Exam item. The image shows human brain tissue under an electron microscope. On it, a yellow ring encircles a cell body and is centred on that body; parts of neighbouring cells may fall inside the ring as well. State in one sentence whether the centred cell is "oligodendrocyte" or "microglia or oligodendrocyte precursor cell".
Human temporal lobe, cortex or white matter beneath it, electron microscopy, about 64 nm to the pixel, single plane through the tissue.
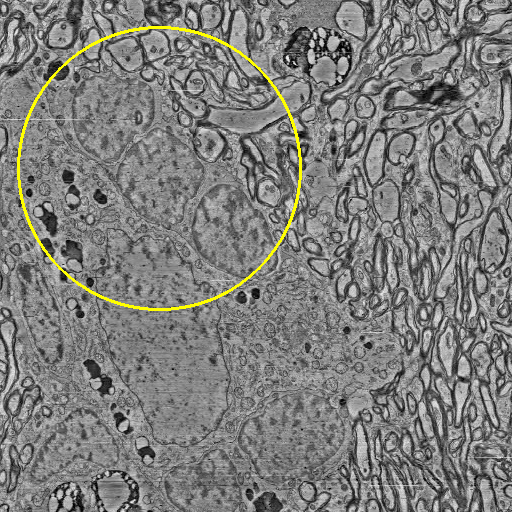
The cell body centred in the ring is an oligodendrocyte.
